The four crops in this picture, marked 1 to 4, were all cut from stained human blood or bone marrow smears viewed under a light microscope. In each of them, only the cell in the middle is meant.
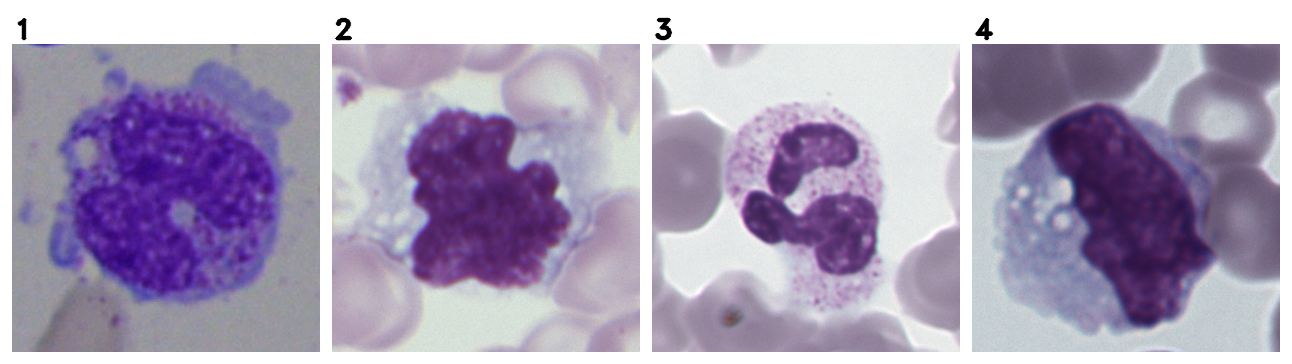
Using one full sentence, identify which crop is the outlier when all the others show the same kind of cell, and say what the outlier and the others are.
Crop 3 differs: it is a segmented neutrophil, and all the other crops show monocytes.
